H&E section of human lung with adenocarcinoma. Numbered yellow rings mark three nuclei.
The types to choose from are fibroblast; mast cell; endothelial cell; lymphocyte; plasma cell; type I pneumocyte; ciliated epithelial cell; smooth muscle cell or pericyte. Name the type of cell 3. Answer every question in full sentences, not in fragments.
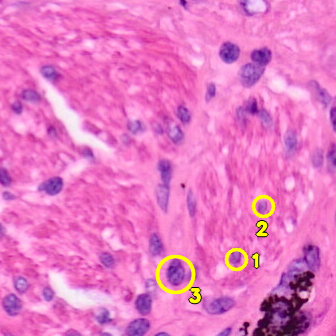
The mark numbered 3 indicates the nucleus of a mast cell.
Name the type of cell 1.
That cell with number 1 is a smooth muscle cell or pericyte.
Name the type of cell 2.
The cell that carries the label 2 is a smooth muscle cell or pericyte.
